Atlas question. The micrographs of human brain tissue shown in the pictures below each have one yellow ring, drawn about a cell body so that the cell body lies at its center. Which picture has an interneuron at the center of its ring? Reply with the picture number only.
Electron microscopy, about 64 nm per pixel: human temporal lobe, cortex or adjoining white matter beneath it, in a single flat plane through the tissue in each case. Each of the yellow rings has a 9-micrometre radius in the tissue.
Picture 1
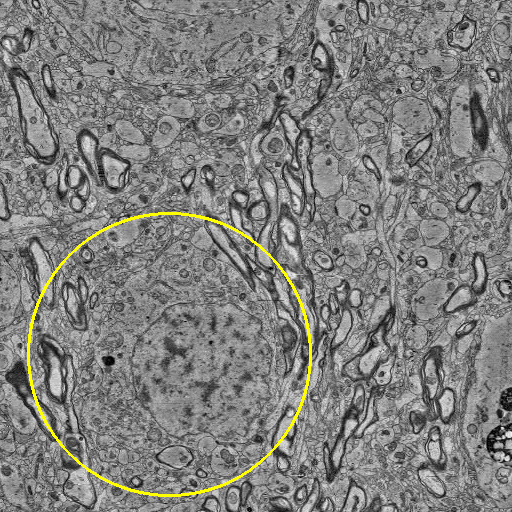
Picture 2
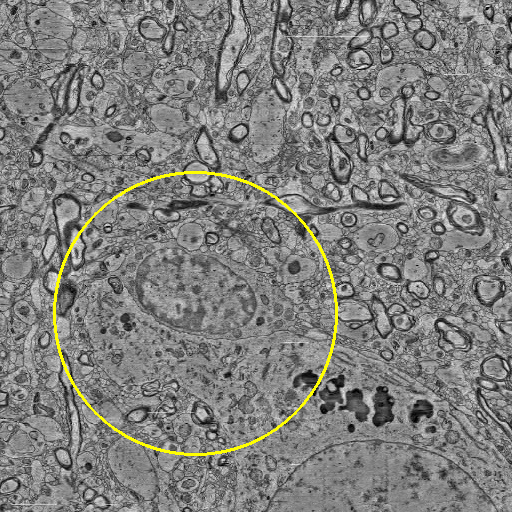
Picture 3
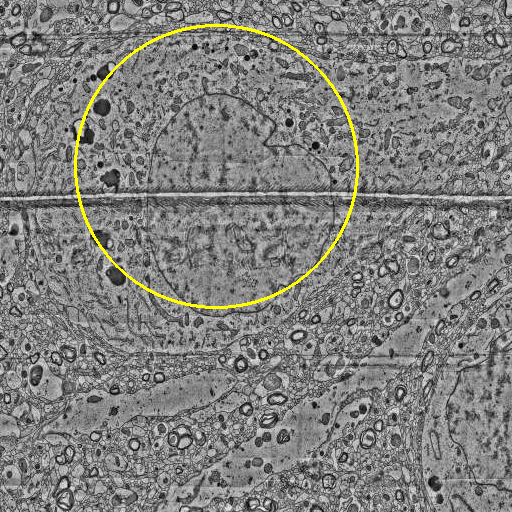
1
